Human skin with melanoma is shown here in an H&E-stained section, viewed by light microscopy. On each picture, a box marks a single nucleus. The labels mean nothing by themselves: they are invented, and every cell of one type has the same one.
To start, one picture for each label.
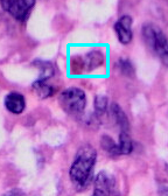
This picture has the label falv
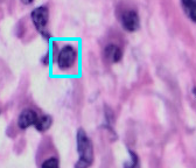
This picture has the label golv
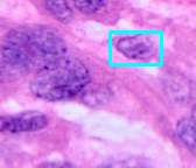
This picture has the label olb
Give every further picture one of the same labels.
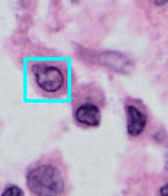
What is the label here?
falv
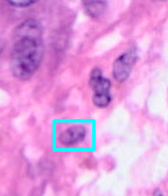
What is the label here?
falv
